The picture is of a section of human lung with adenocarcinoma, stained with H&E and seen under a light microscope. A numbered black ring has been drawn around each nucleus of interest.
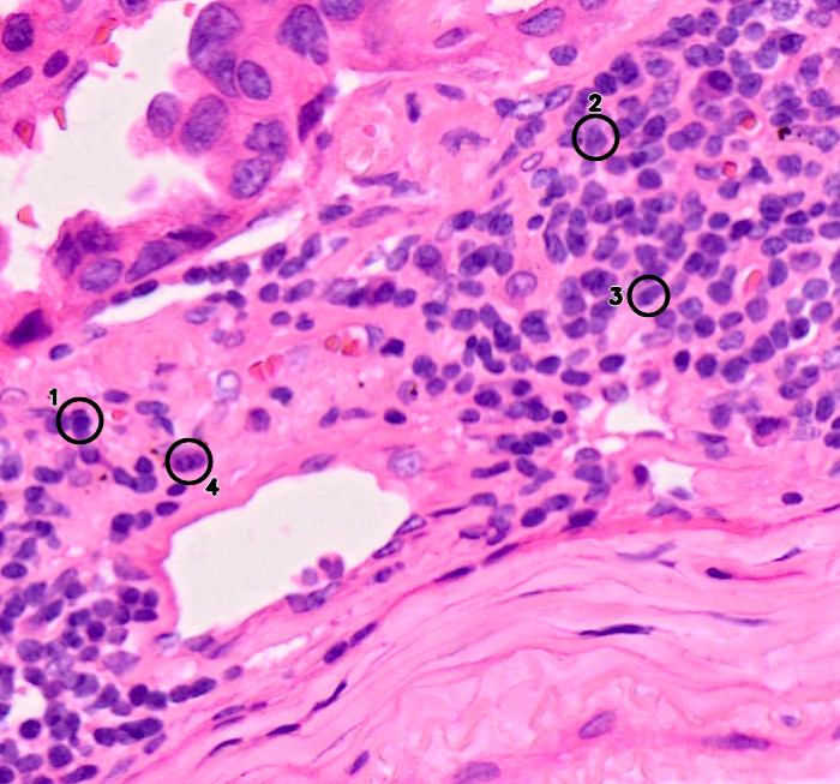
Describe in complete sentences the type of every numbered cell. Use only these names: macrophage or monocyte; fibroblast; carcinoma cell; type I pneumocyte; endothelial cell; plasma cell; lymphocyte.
Cells 1, 2 and 3 are lymphocytes. Cell 4 is a plasma cell.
